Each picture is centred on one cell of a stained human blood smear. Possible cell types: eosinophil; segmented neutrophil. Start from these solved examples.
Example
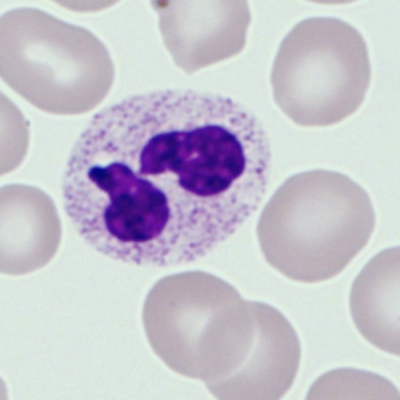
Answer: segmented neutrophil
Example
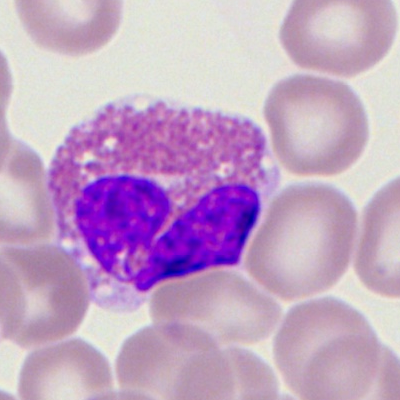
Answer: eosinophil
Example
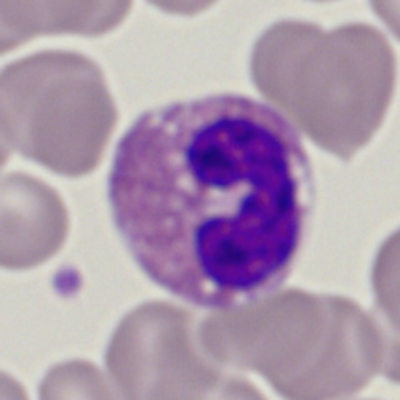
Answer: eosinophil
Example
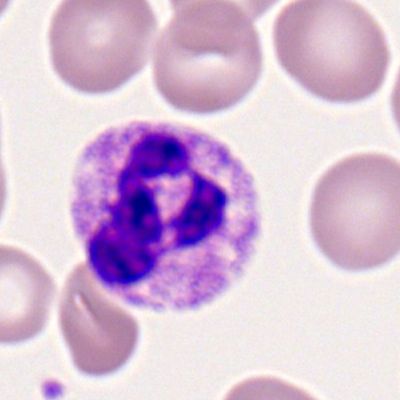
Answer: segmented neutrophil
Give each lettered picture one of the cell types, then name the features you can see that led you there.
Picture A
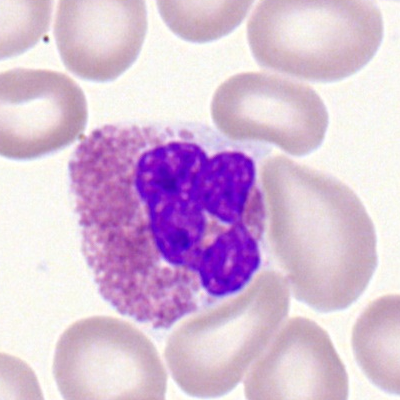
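eosinophil. The granules are coarse and of fairly even size.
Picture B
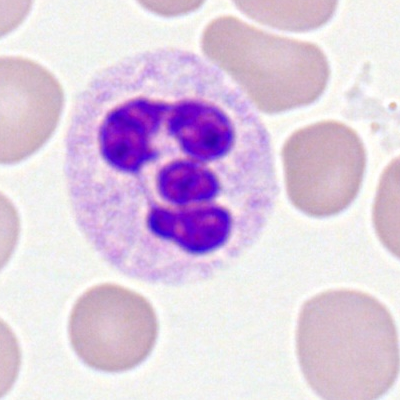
segmented neutrophil. Fine lilac granules are spread throughout the cytoplasm.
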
